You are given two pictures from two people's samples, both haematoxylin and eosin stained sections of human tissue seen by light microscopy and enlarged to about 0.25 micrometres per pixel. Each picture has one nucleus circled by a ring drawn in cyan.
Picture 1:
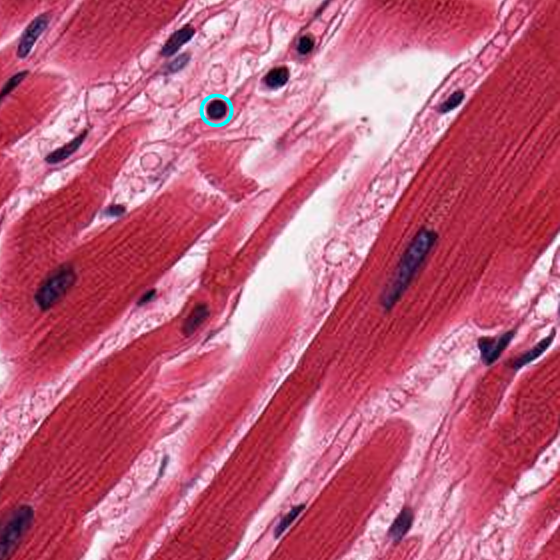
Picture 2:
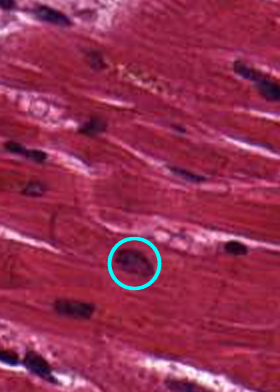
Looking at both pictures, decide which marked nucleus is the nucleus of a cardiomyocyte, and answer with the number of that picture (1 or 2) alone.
2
